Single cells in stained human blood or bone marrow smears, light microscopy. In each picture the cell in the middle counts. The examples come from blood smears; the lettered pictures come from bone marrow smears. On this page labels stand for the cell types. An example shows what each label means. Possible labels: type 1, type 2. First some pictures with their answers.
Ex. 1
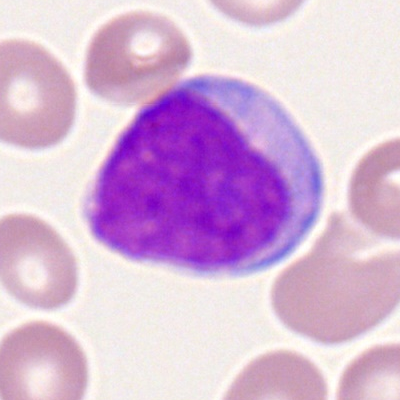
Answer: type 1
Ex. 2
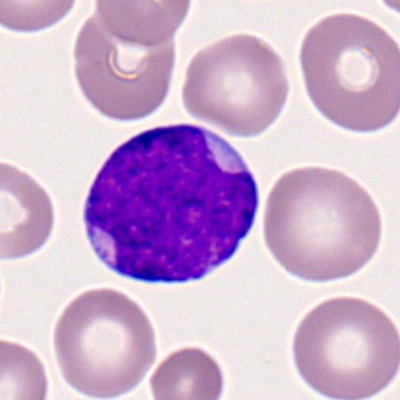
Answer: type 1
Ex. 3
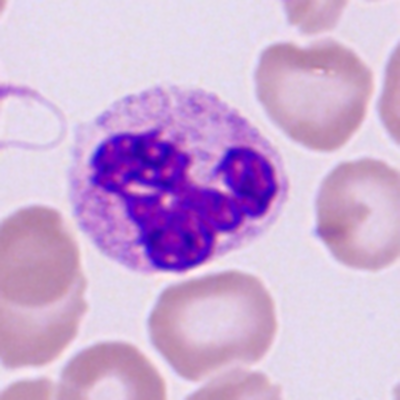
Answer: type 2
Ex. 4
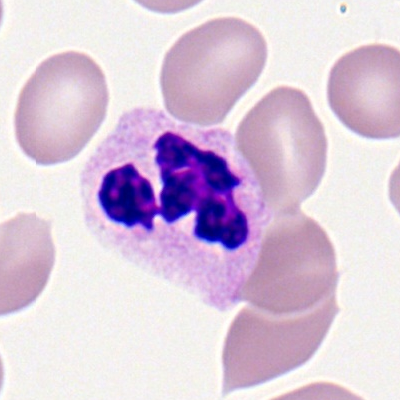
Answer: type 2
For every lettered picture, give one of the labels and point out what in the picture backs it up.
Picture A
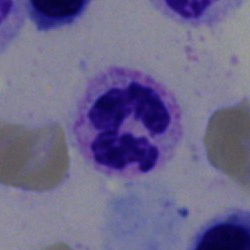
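Label: type 2. The chromatin is dark purple and coarsely clumped.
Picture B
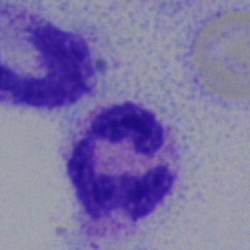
Label: type 2. The chromatin is dark purple and coarsely clumped.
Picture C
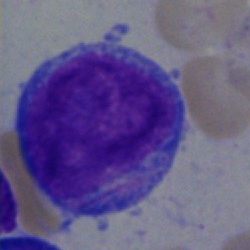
Label: type 1. The nucleus fills most of the cell.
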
